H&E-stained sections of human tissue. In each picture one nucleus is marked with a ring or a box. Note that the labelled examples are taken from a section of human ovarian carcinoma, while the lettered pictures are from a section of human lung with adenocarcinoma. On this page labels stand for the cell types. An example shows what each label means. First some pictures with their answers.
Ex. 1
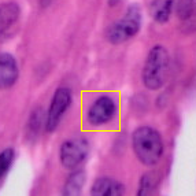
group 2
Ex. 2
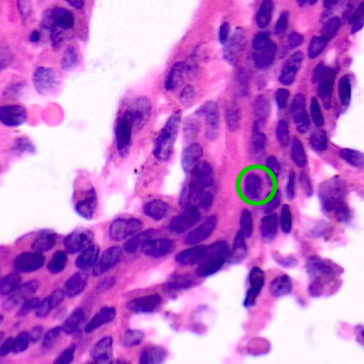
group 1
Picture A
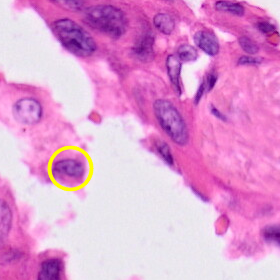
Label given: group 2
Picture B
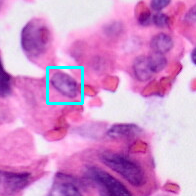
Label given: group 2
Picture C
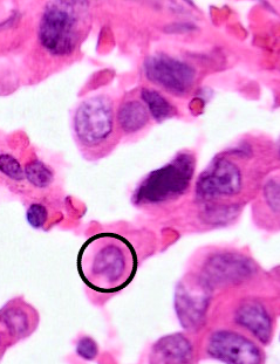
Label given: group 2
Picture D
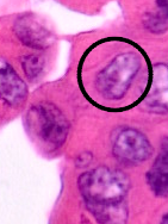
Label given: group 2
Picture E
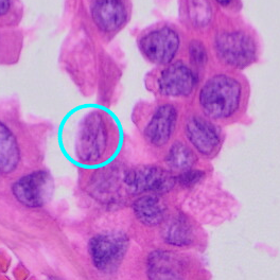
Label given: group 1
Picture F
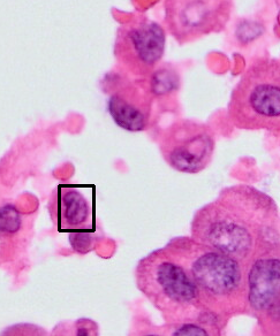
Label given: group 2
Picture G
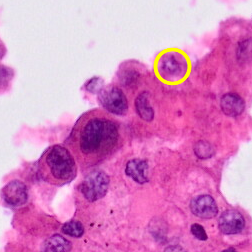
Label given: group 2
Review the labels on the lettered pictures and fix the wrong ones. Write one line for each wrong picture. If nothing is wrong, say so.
D: change group 2 to group 1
